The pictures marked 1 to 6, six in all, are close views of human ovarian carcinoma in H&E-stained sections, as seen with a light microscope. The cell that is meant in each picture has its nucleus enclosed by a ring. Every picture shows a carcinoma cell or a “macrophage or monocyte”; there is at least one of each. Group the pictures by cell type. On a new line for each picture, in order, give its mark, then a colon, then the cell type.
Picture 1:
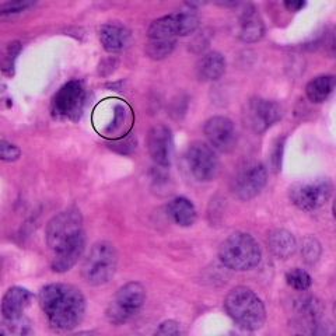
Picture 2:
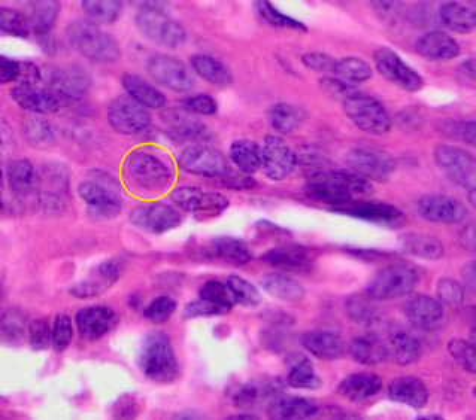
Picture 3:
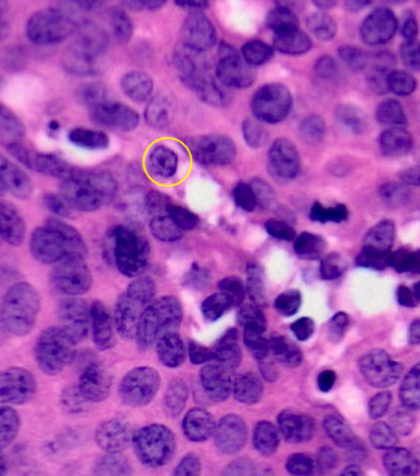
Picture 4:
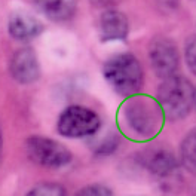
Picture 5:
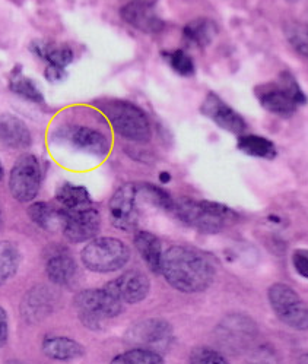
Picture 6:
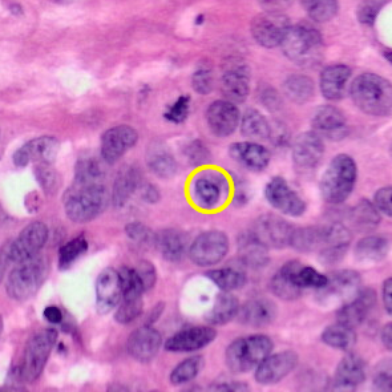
1: macrophage or monocyte
2: carcinoma cell
3: macrophage or monocyte
4: carcinoma cell
5: carcinoma cell
6: macrophage or monocyte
